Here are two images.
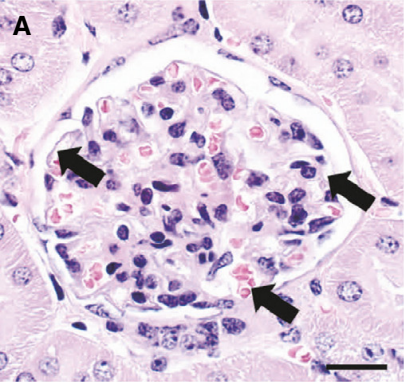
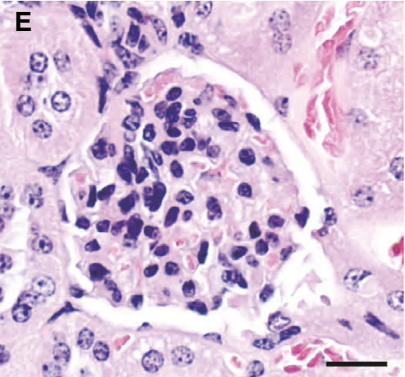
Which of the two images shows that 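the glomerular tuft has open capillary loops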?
the first image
